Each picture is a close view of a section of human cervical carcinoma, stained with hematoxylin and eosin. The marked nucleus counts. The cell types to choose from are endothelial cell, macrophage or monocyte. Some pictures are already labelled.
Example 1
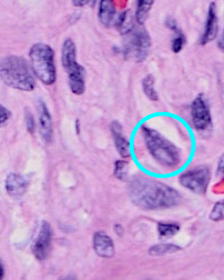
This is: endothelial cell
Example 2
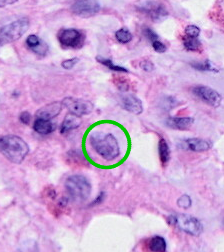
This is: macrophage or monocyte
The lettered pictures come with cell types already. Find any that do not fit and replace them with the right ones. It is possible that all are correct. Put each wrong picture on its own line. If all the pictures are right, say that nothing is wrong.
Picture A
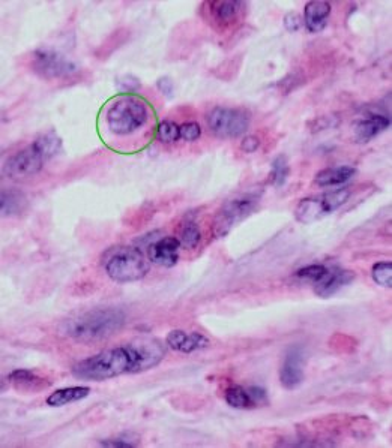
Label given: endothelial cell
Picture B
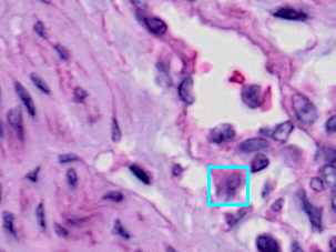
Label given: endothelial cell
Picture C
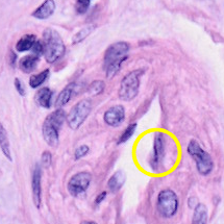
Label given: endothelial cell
A: not endothelial cell but macrophage or monocyte
B: not endothelial cell but macrophage or monocyte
